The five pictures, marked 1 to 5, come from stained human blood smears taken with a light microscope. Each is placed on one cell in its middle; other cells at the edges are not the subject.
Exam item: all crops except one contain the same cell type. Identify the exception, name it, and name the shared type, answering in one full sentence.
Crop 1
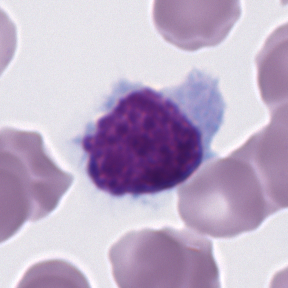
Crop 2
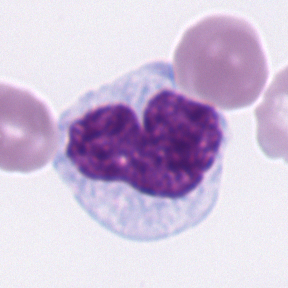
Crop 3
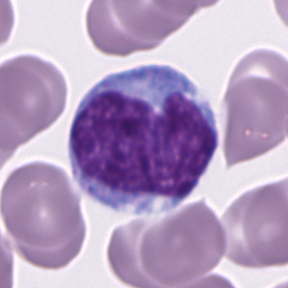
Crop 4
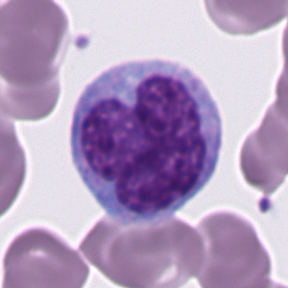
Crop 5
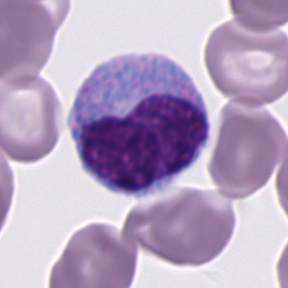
Crop 1, showing a hairy cell, is the exception; the others all show monocytes.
